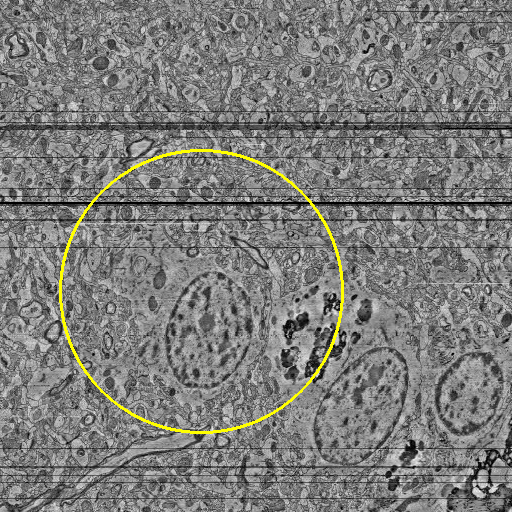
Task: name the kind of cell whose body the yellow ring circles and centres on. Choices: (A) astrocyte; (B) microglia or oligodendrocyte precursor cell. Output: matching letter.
A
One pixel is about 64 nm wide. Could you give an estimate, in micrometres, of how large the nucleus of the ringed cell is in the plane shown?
The nucleus is approximately 8 micrometers long by 6 micrometers wide in this plane.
